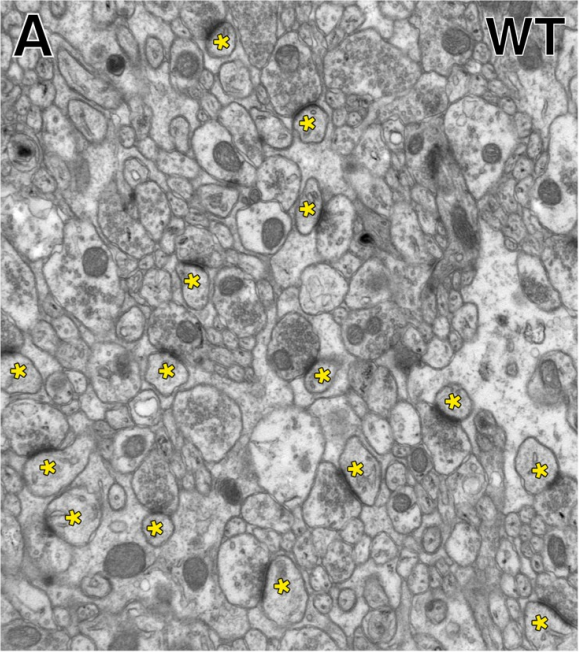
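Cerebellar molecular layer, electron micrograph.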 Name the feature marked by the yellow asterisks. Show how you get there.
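Asymmetric synapses. Each asterisk sits on a small rounded profile with a thick dark band along one side of its membrane. Next to the dark band lies a profile packed with small round vesicles.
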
